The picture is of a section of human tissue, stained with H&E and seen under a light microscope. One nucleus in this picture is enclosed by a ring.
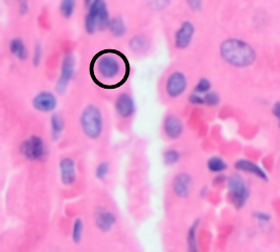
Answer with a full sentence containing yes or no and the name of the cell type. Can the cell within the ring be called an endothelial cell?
No, a loop of Henle or distal tubule cell is what the cell within the ring is, not an endothelial cell.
